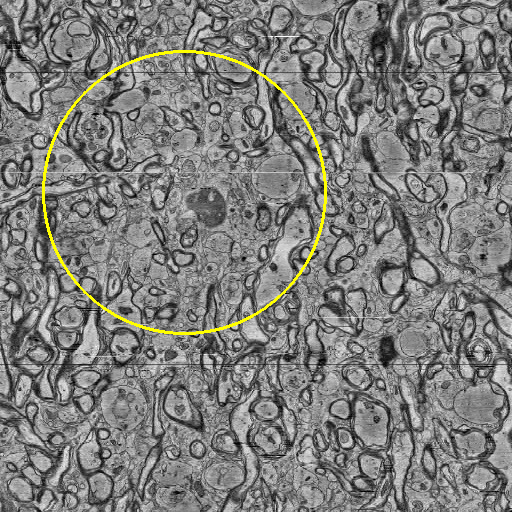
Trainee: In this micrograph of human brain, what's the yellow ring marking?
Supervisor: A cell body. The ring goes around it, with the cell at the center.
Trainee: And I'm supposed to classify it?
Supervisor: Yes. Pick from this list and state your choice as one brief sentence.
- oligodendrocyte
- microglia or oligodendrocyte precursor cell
The cell at the ring's center is a microglial cell or oligodendrocyte precursor cell.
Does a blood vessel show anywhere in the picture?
No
